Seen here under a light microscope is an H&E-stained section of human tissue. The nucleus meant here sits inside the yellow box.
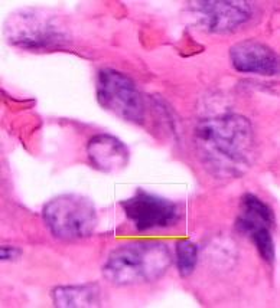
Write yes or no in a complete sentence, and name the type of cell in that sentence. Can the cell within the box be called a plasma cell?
No, the cell within the box is best named a carcinoma cell, not a plasma cell.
